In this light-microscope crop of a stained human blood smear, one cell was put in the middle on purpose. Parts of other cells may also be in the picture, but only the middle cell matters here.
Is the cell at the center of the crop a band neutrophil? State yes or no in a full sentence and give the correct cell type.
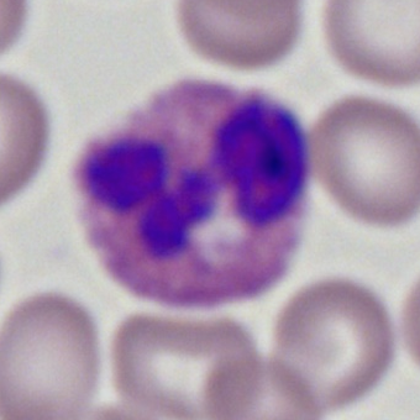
No, that is not a band neutrophil; the middle cell is an eosinophil.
